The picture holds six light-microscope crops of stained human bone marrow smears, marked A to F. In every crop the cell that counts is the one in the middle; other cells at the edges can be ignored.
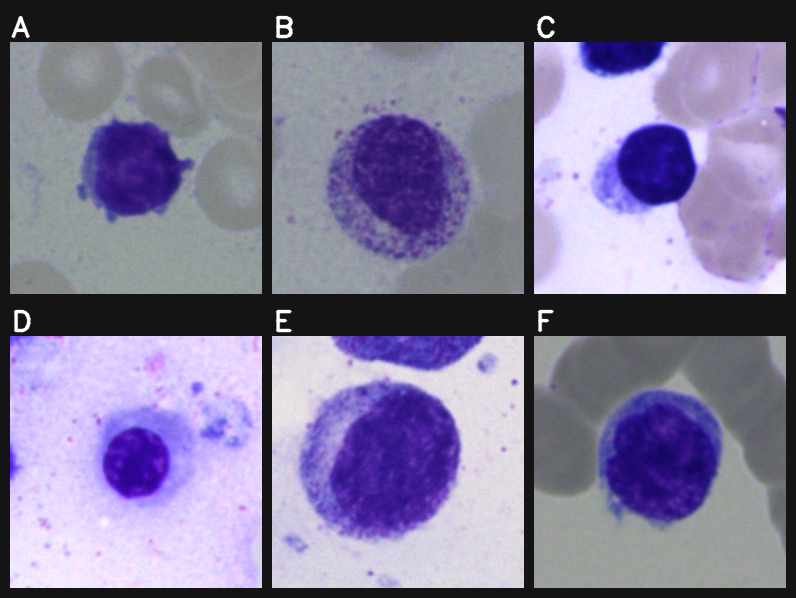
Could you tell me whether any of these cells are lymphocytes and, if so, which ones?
A, C, F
